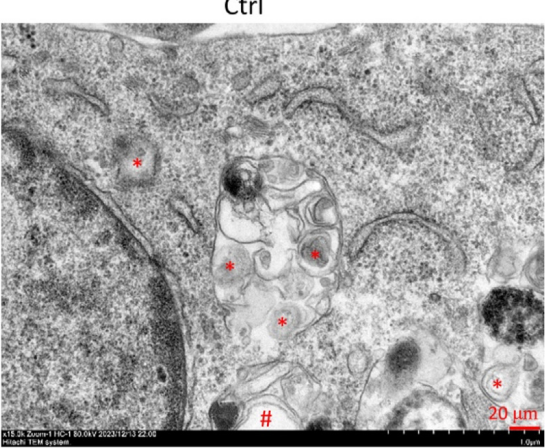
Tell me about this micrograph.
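The background cytoplasm is finely granular and rich in ribosome-like particles, with scattered curved membrane profiles. A long curved dark band runs along the left side. Near the centre lies a large membrane-bounded compartment holding several smaller rounded bodies, some wrapped in concentric, onion-like membranes around pale or granular contents. Further small rounded membrane-bound bodies with similar layered walls lie nearby, and a very dark, electron-dense body sits at the lower right.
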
